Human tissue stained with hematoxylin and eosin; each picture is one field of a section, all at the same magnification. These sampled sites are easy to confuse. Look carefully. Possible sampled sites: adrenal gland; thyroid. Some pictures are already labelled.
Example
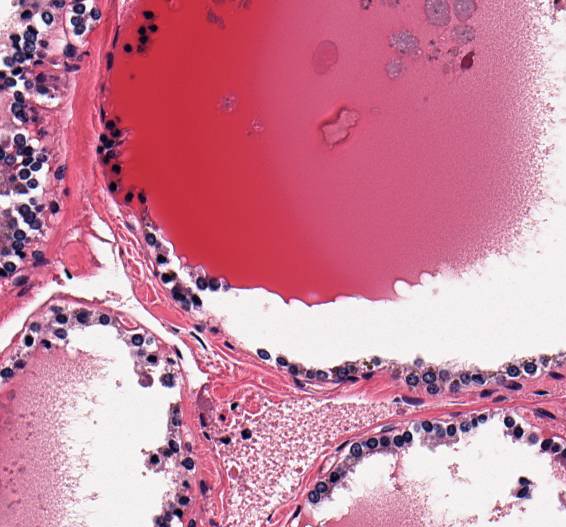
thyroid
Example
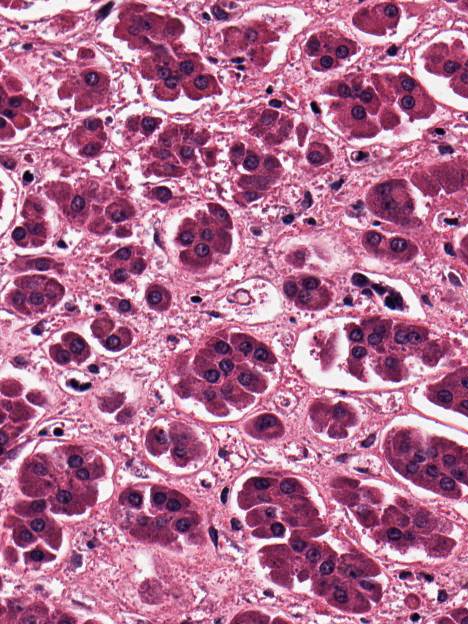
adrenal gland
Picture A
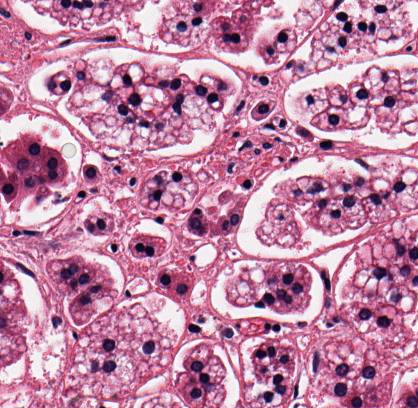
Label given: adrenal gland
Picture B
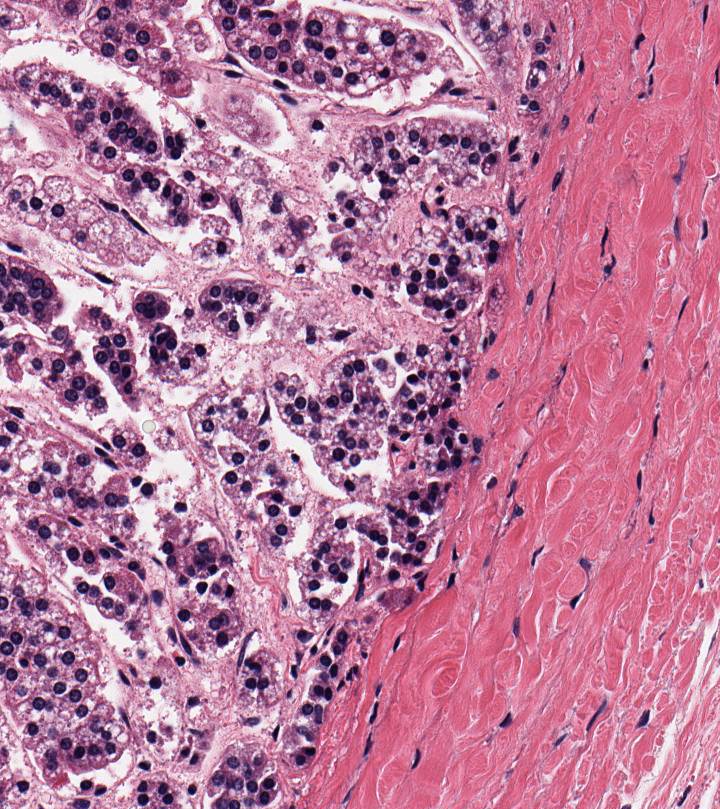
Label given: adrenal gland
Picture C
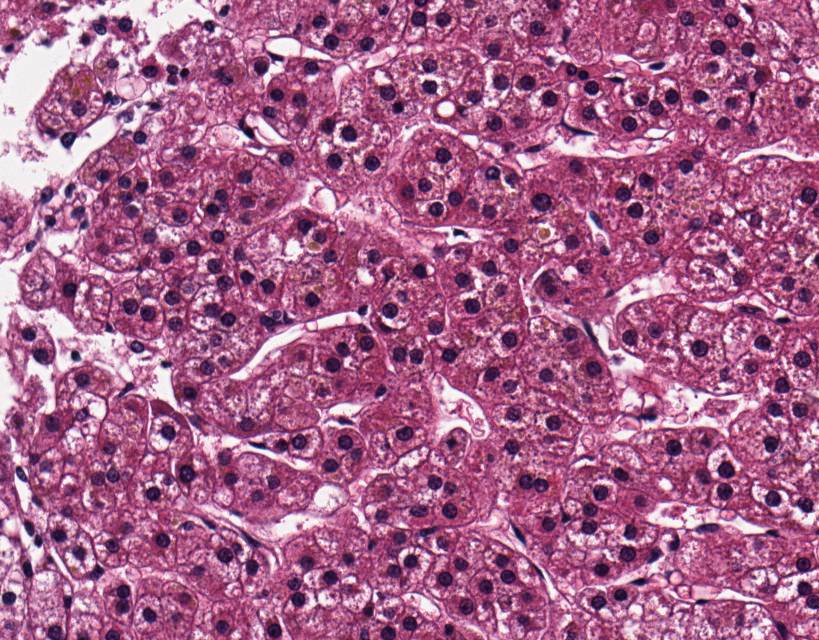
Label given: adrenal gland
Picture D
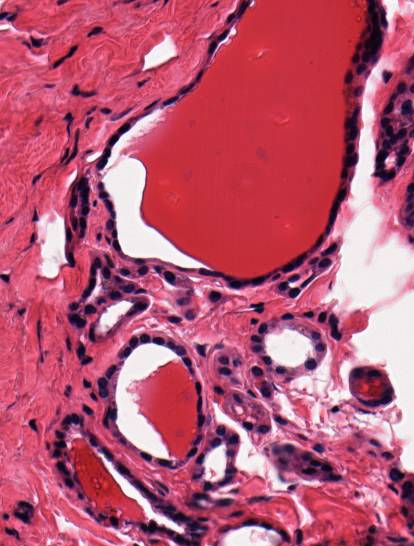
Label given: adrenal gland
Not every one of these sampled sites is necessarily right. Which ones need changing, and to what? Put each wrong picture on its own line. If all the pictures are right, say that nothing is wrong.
D should be thyroid, not adrenal gland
